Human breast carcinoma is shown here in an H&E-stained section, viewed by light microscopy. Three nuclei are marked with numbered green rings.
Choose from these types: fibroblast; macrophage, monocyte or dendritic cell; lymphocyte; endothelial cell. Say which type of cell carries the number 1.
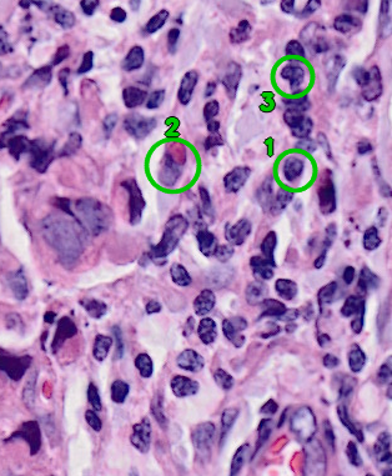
lymphocyte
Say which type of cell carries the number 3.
lymphocyte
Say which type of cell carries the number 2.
endothelial cell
